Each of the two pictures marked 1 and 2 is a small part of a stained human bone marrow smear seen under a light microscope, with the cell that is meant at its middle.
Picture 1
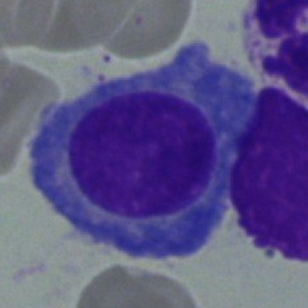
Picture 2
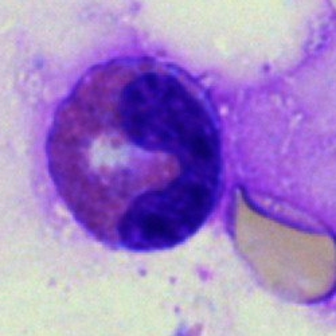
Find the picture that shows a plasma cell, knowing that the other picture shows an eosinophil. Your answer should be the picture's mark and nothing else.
1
